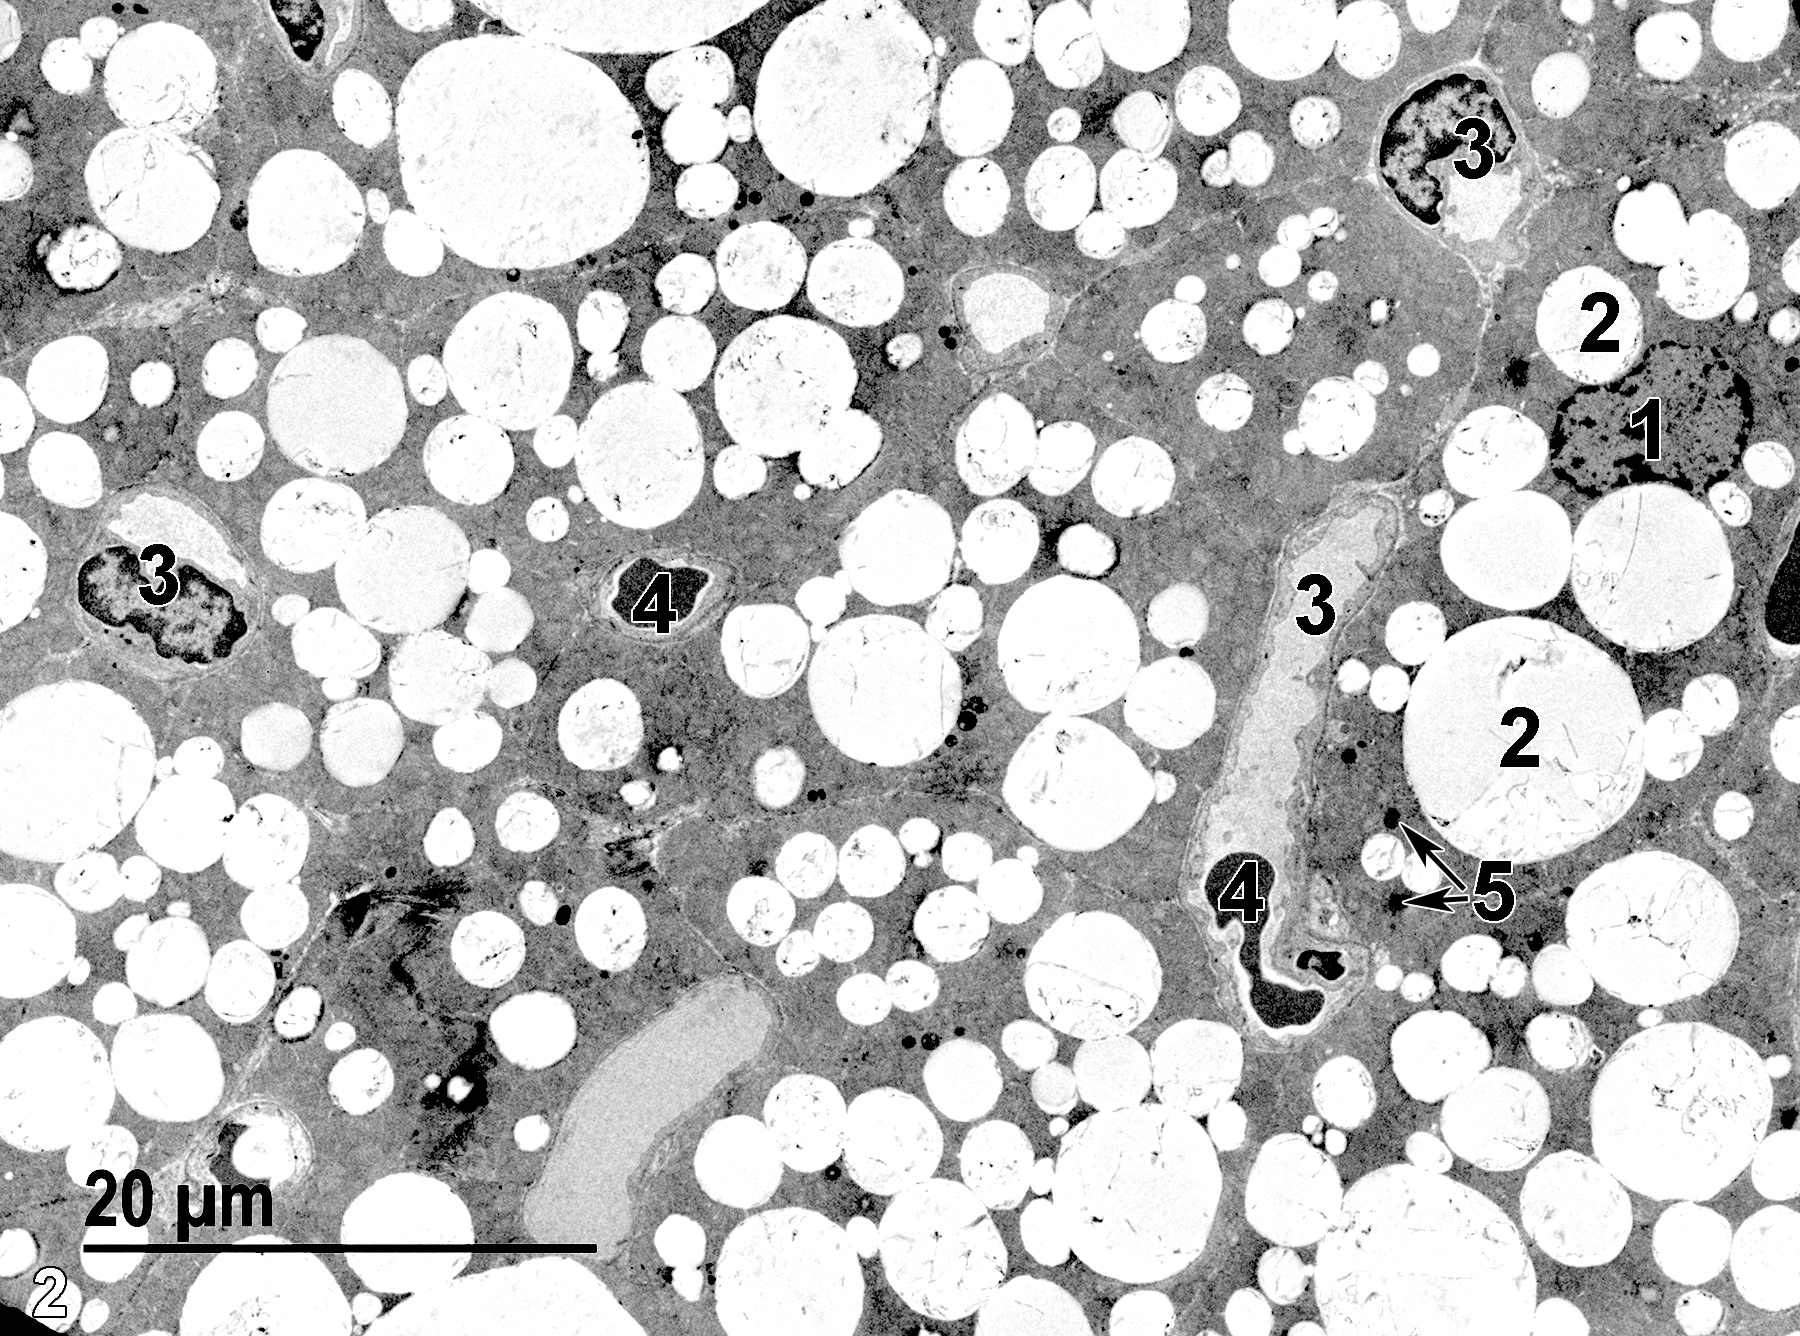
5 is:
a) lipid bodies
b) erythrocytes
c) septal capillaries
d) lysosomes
d) lysosomes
